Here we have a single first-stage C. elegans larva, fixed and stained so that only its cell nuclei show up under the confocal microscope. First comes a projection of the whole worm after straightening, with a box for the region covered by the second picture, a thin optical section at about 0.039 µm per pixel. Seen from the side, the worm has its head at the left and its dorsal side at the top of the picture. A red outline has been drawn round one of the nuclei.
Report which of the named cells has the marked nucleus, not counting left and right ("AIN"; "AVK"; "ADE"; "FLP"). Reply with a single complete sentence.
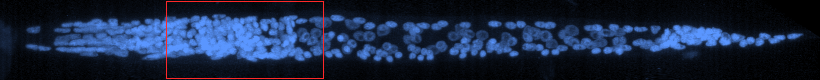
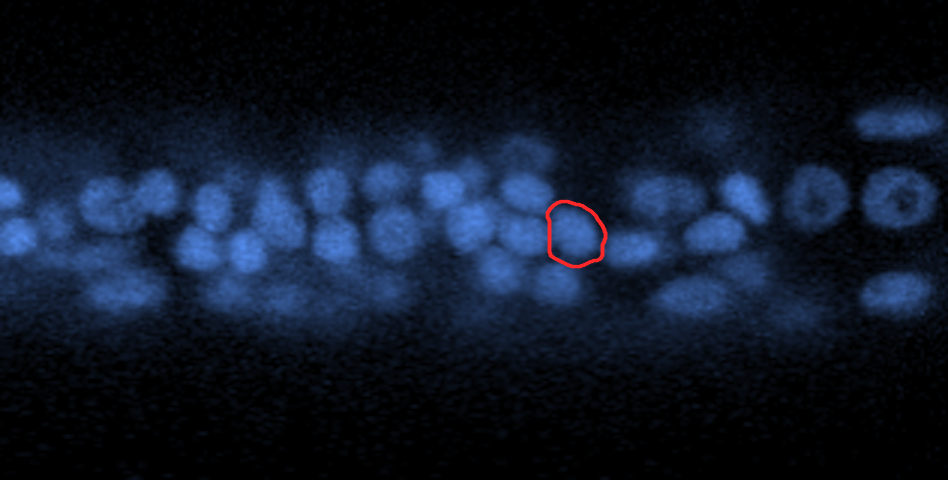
This is the nucleus of ADE, a neuron.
